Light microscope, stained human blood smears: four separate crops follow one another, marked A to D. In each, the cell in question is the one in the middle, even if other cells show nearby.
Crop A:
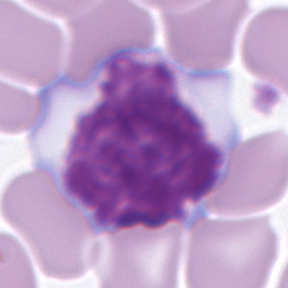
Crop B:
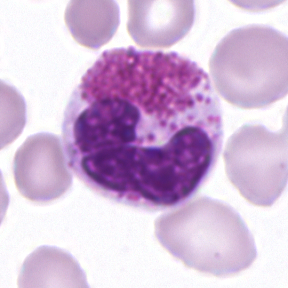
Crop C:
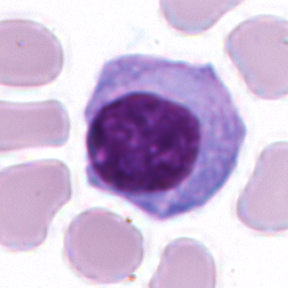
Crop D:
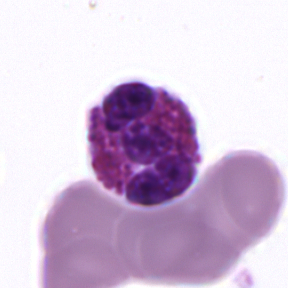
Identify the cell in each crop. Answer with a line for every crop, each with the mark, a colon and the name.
A: monocyte
B: eosinophil
C: plasma cell
D: eosinophil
